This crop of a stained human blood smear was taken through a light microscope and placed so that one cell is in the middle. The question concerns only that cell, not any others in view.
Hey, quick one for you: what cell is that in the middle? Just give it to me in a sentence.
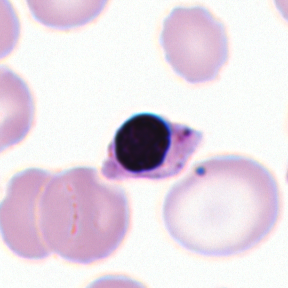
The cell at the middle of the crop is recognized as an erythroblast.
